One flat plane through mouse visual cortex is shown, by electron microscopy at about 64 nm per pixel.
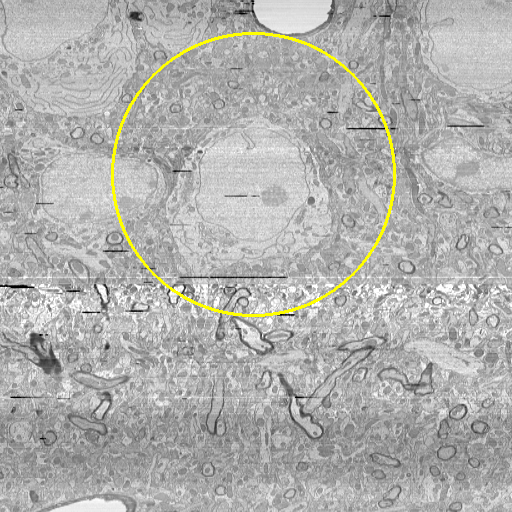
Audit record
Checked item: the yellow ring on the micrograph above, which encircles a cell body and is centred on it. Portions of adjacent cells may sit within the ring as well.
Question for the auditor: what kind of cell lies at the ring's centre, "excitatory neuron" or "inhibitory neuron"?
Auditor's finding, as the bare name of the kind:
excitatory neuron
